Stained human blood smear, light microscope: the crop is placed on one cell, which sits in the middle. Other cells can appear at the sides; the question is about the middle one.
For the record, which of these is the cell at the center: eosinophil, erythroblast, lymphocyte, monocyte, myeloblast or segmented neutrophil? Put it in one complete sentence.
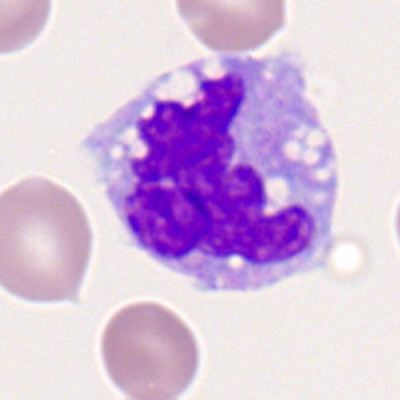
The identification for the central cell is a monocyte.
